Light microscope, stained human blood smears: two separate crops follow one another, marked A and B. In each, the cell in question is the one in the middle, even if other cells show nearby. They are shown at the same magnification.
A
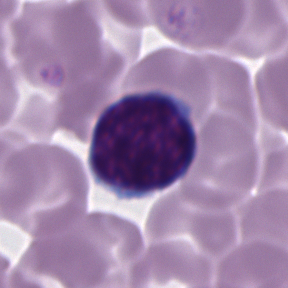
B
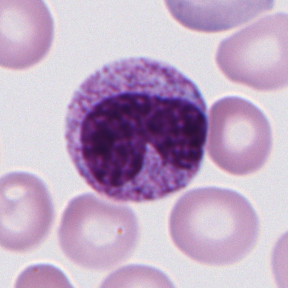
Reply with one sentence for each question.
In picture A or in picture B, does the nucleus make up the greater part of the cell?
In picture A the nucleus takes up the larger part of its cell.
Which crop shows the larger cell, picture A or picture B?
Larger is the cell in picture B, at roughly 2 times the area of the other.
